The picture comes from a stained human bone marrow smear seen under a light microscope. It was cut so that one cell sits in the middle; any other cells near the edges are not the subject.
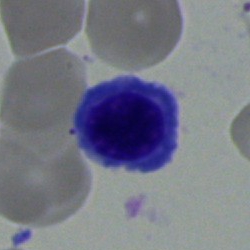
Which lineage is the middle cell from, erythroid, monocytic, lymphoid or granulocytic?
erythroid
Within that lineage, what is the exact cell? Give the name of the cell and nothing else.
erythroblast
